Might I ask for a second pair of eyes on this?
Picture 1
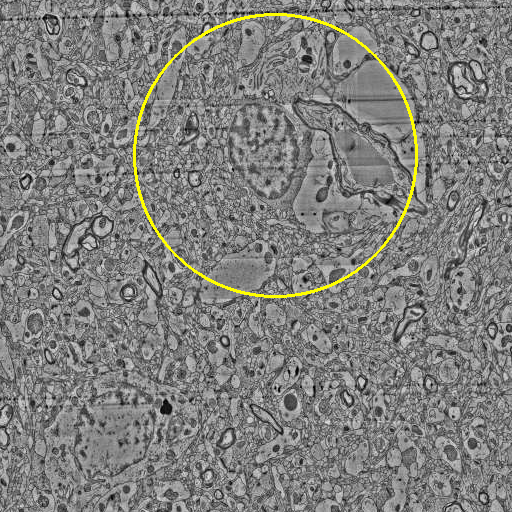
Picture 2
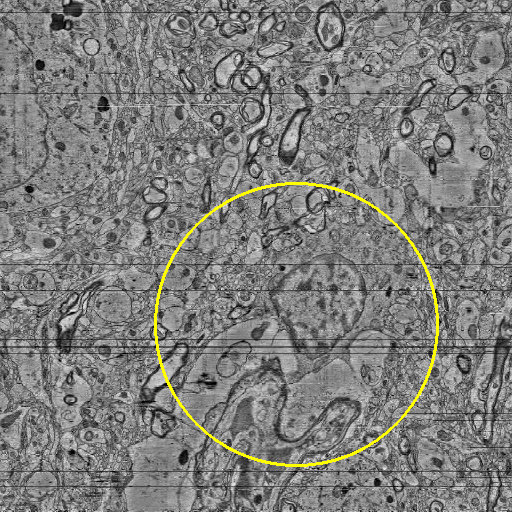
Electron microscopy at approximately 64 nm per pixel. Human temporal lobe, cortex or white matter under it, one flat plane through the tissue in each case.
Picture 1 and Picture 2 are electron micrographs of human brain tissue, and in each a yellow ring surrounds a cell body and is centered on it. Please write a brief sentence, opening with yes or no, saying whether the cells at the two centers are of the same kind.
Yes, the cells are of the same kind.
